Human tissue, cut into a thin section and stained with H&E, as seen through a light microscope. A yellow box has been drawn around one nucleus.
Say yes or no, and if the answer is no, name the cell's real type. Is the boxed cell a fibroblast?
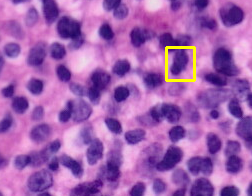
No, it is a proliferating B cell.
